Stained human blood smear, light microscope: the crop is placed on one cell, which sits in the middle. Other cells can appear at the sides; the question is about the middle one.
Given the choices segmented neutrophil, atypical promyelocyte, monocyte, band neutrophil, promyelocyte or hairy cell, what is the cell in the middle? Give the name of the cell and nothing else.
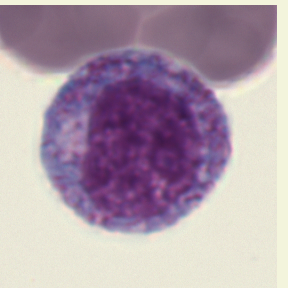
promyelocyte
